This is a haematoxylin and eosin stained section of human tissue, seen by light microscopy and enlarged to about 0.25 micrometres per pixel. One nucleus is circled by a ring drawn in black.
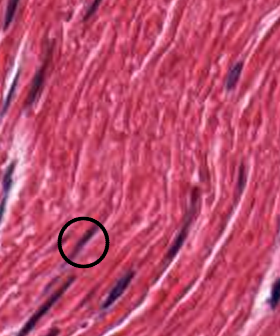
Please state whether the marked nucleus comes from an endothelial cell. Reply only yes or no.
no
